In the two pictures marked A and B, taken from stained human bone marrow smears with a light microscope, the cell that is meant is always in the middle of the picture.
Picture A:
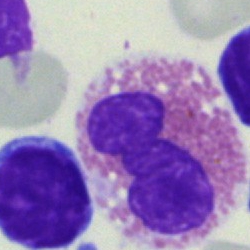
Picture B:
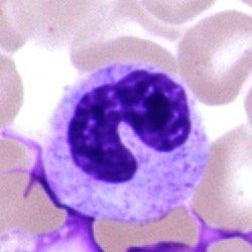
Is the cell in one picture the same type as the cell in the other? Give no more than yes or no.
no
